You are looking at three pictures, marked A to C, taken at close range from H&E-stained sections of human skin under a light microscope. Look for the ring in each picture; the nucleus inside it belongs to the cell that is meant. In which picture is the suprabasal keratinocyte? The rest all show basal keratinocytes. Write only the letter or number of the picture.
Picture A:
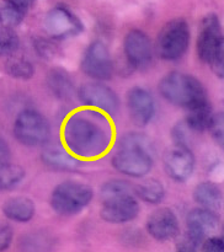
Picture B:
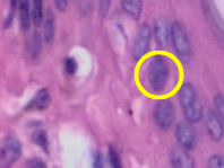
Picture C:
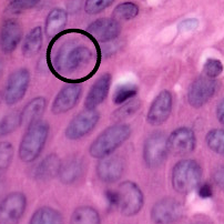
A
